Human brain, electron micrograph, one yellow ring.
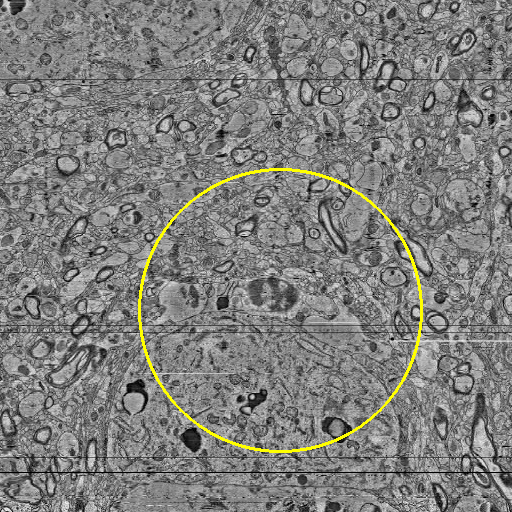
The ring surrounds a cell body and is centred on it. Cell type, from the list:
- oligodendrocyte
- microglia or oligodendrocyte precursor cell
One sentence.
The yellow ring circles a microglial cell or oligodendrocyte precursor cell.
